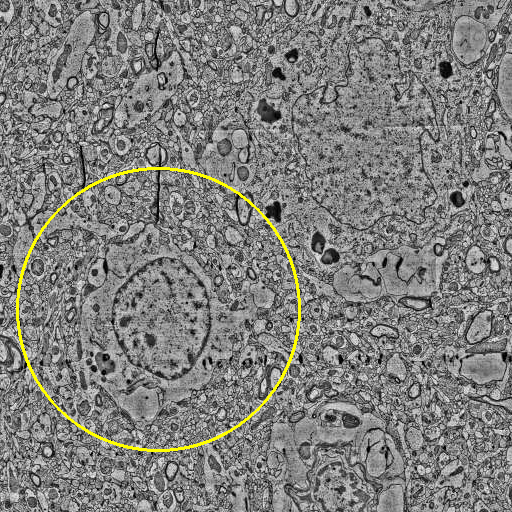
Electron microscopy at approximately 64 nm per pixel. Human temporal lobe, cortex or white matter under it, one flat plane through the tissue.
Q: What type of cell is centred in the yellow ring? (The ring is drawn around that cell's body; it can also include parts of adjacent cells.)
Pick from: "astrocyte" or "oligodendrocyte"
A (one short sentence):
The yellow ring is centred on an astrocyte.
